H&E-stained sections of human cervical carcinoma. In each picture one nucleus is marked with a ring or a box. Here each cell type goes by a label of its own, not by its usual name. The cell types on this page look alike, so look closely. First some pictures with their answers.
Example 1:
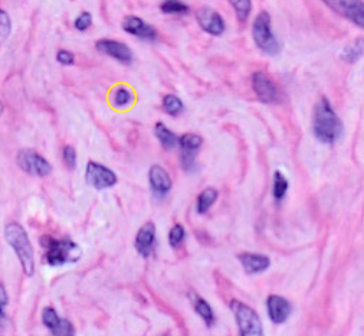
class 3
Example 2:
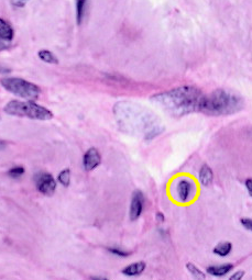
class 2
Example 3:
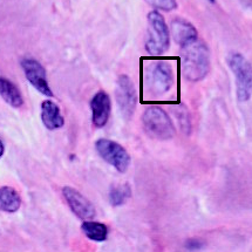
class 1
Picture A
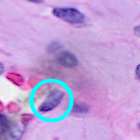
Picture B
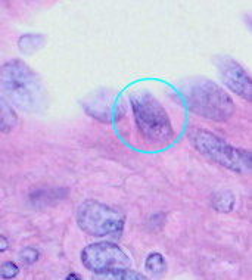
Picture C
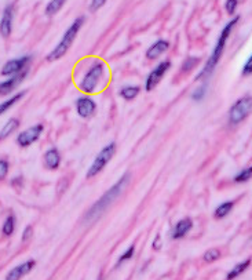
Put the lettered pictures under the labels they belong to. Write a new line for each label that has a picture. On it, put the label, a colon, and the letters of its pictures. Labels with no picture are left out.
class 3: C
class 1: A, B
